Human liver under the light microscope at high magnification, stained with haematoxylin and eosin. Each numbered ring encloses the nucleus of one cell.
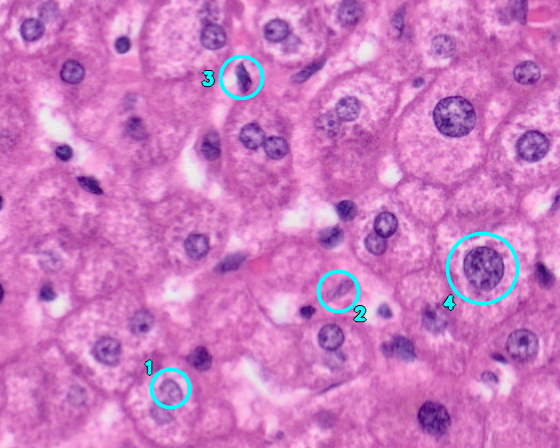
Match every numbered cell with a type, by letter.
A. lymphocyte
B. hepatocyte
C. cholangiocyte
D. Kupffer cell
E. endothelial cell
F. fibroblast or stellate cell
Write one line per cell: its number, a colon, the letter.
1: B
2: D
3: E
4: B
